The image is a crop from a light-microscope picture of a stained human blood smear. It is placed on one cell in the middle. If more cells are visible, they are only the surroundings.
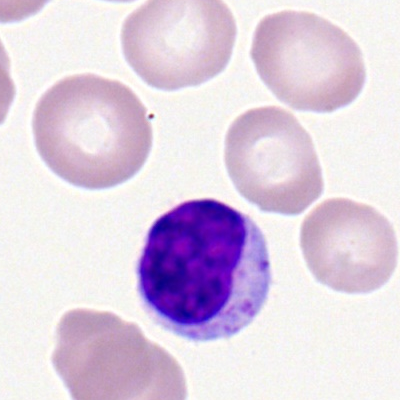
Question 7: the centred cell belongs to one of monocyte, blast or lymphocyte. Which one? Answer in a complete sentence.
What the crop centres on is a lymphocyte.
